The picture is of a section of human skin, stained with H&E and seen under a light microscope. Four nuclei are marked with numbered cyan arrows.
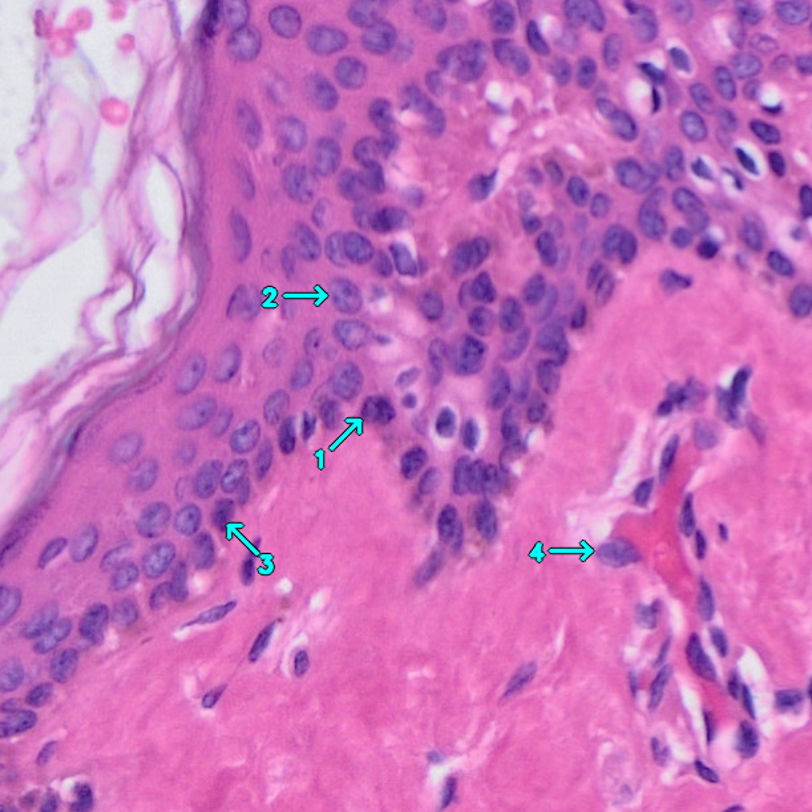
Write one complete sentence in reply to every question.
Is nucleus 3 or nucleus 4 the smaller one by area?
It is nucleus 3; nucleus 4 has about 2 times its area.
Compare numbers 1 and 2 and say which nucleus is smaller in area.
With nucleus 2 about 1.5 times its size, nucleus 1 is the smaller of the two.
